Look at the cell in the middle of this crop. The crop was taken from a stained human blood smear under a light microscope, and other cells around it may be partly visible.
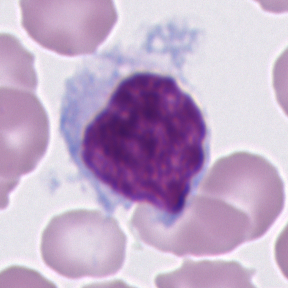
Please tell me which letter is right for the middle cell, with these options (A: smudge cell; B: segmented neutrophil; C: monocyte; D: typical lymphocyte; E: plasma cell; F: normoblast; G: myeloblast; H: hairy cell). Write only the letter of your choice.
H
